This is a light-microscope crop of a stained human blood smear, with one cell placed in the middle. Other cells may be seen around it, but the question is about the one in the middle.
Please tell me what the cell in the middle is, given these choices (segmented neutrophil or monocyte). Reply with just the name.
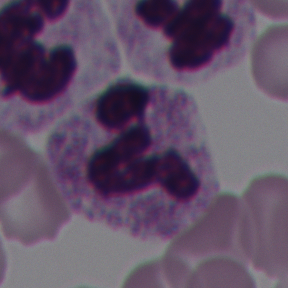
segmented neutrophil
